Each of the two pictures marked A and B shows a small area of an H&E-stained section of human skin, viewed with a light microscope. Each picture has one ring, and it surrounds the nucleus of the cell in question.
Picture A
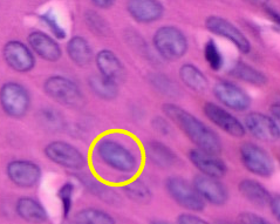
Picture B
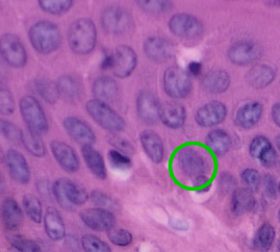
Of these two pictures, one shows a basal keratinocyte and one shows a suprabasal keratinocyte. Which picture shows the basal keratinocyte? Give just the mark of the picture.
B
